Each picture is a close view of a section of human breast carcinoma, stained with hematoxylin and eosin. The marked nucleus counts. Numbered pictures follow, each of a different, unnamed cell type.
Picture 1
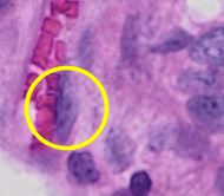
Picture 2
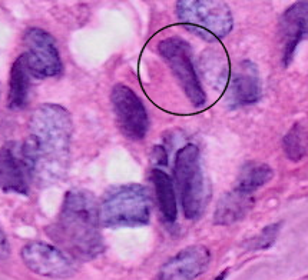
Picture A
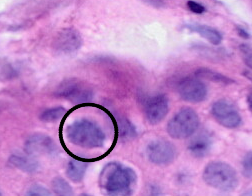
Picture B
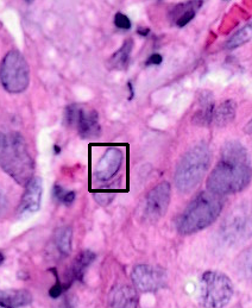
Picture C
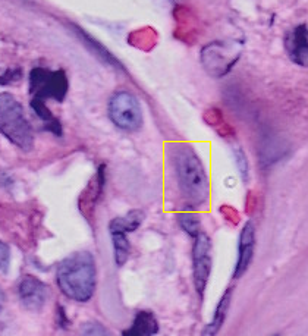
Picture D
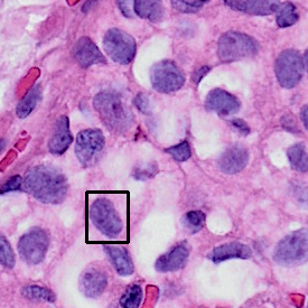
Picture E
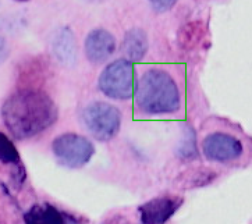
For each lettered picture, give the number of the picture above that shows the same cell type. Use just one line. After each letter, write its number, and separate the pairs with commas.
A 2, B 1, C 1, D 2, E 2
